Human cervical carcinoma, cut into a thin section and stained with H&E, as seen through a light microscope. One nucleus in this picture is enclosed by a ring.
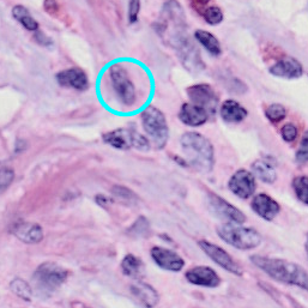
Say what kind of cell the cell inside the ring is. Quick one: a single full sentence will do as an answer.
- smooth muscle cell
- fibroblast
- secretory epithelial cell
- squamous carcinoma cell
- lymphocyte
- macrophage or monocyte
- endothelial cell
The cell type of the cell inside the ring is that of a macrophage or monocyte.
